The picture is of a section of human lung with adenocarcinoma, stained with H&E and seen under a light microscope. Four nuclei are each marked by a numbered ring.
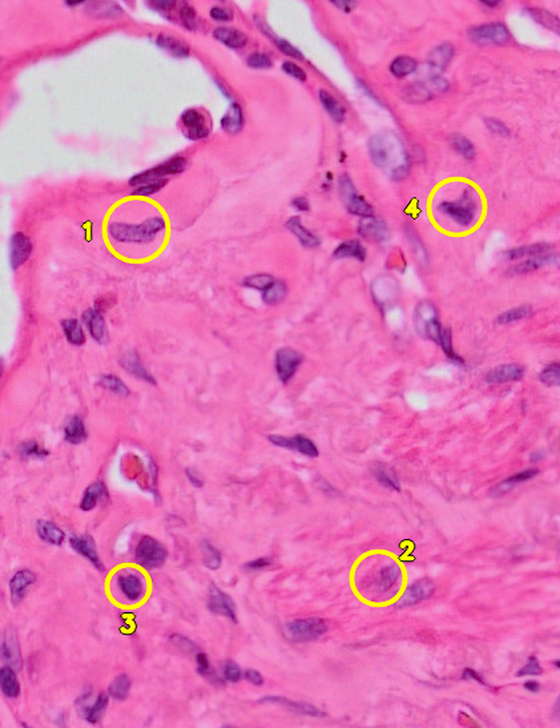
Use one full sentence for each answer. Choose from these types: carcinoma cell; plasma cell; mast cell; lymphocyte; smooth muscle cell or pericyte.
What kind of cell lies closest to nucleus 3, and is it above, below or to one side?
The nearest one is a plasma cell, found above and to the right of nucleus 3.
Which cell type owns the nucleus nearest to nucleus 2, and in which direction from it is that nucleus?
Just below and to the right of nucleus 2 lies the nearest nucleus, which belongs to a smooth muscle cell or pericyte.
